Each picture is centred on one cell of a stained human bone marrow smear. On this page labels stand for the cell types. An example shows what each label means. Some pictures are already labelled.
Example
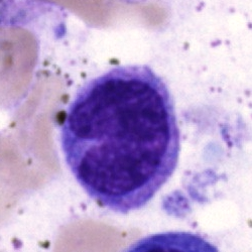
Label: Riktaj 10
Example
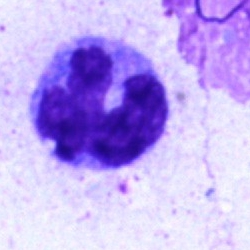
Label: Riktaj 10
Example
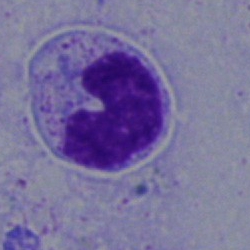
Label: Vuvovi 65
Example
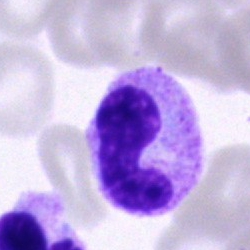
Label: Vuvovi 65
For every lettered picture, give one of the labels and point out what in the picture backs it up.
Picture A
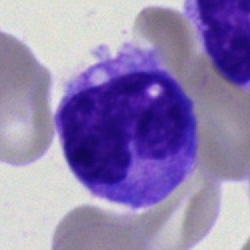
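Label: Riktaj 10. The nucleus fills most of the cell.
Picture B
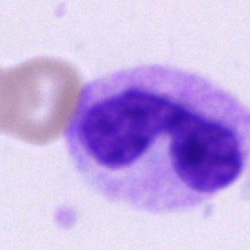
Label: Vuvovi 65. The cytoplasm is plentiful and pale lilac.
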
